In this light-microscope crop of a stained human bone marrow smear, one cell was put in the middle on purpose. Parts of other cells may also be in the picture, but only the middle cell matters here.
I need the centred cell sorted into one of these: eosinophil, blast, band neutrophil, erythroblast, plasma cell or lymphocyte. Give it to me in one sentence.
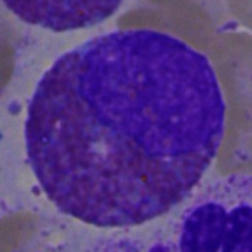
The cell centred in this crop is categorized as an eosinophil.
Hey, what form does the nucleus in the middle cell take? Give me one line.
Worth pointing out that its nucleus is one compact mass, round, oval or reniform.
